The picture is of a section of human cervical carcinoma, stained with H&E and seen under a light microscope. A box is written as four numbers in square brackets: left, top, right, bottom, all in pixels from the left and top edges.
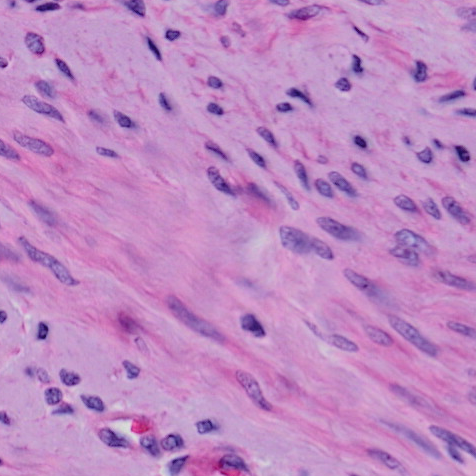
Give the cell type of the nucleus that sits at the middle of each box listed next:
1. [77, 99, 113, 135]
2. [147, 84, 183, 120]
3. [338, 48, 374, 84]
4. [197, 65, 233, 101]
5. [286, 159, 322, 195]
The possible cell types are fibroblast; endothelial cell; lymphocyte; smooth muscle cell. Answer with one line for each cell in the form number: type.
1: smooth muscle cell
2: fibroblast
3: fibroblast
4: smooth muscle cell
5: smooth muscle cell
